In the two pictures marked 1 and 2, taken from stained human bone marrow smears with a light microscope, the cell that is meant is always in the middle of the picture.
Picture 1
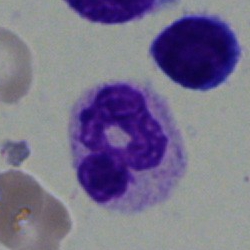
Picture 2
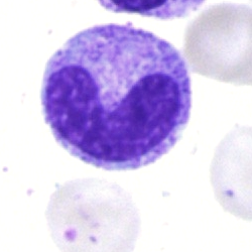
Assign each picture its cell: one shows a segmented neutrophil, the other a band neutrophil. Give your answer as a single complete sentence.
In picture 1 the cell is a segmented neutrophil; in picture 2, a band neutrophil.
